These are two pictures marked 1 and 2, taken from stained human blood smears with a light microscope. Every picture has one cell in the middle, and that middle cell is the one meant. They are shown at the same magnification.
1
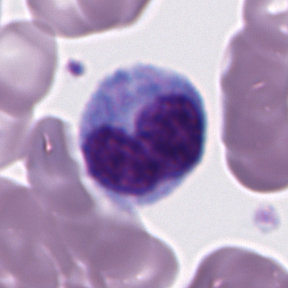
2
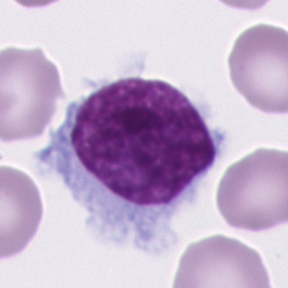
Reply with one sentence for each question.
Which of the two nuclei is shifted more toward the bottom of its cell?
It is the nucleus in crop 1 that lies further toward the bottom of its cell.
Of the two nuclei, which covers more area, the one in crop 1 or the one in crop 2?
It is the nucleus in crop 2, about 1.5 times as large in area as the one in crop 1.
